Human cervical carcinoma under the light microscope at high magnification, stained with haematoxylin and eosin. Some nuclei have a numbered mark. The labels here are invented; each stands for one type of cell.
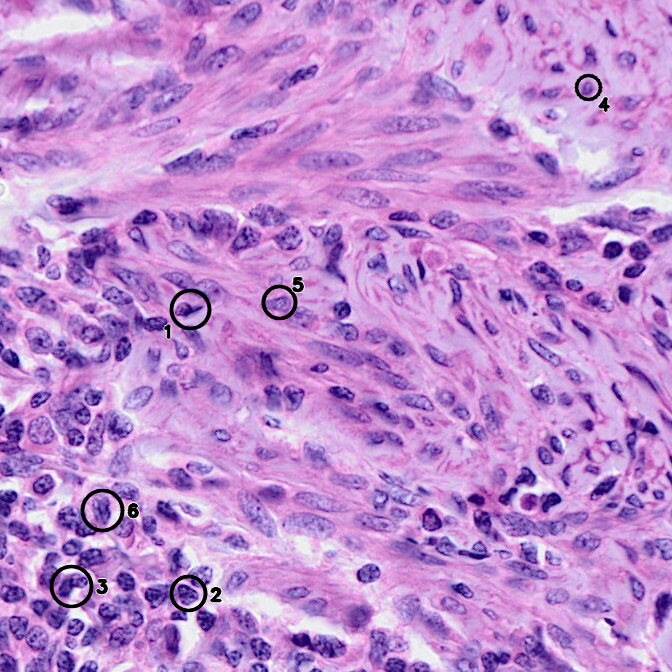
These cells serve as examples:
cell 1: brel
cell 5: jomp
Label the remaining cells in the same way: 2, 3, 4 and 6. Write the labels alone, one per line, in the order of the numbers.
brel
brel
jomp
brel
